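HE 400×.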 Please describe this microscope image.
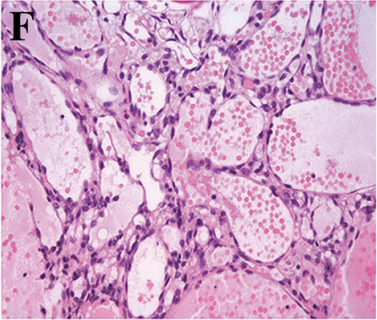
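This high-power view shows closely packed vascular channels lined by endothelial cells. Many rounded and oval lumens are filled with red blood cells and pale pink fluid. Between them lie cellular strands with dark oval nuclei, which line and separate the channels.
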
